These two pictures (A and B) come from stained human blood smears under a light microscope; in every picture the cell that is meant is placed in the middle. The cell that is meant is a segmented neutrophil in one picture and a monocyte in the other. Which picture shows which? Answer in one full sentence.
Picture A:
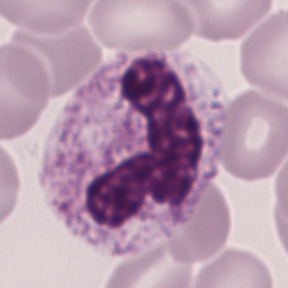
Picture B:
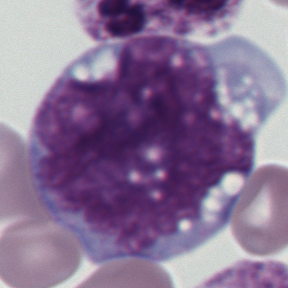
The cell in picture A is a segmented neutrophil, and the one in picture B is a monocyte.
